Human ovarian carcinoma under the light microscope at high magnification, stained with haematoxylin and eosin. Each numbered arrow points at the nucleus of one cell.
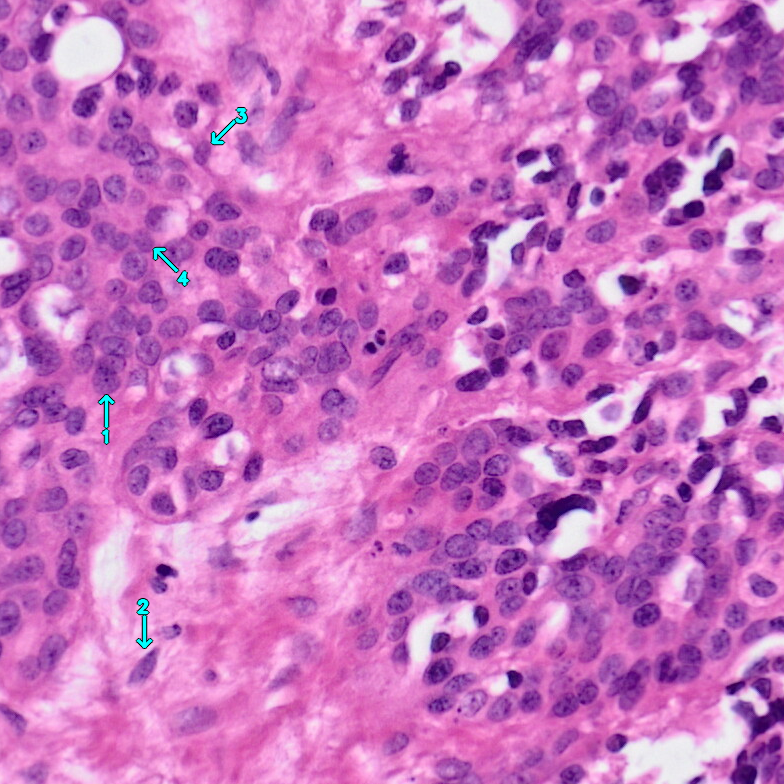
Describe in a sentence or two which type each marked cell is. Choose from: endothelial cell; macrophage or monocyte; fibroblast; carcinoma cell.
Cells 1, 3 and 4 are carcinoma cells. Cell 2 is a fibroblast.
